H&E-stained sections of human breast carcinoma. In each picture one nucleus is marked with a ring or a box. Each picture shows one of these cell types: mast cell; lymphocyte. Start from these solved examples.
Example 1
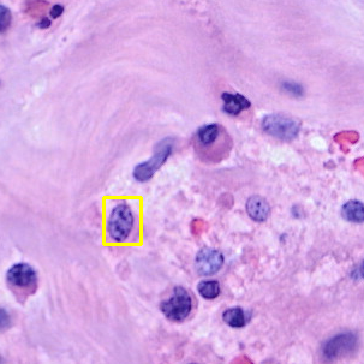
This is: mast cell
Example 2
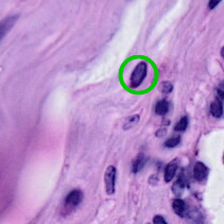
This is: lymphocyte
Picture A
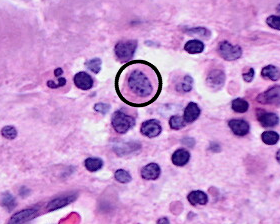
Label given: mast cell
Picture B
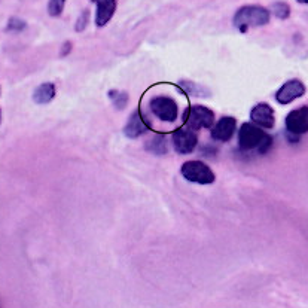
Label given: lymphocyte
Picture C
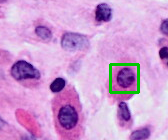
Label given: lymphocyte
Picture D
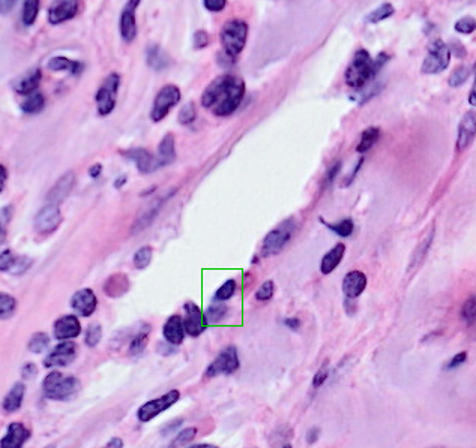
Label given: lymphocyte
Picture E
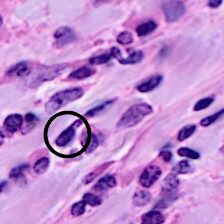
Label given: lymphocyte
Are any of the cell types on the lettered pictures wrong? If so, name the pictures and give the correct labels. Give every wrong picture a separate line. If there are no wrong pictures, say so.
C: change lymphocyte to mast cell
